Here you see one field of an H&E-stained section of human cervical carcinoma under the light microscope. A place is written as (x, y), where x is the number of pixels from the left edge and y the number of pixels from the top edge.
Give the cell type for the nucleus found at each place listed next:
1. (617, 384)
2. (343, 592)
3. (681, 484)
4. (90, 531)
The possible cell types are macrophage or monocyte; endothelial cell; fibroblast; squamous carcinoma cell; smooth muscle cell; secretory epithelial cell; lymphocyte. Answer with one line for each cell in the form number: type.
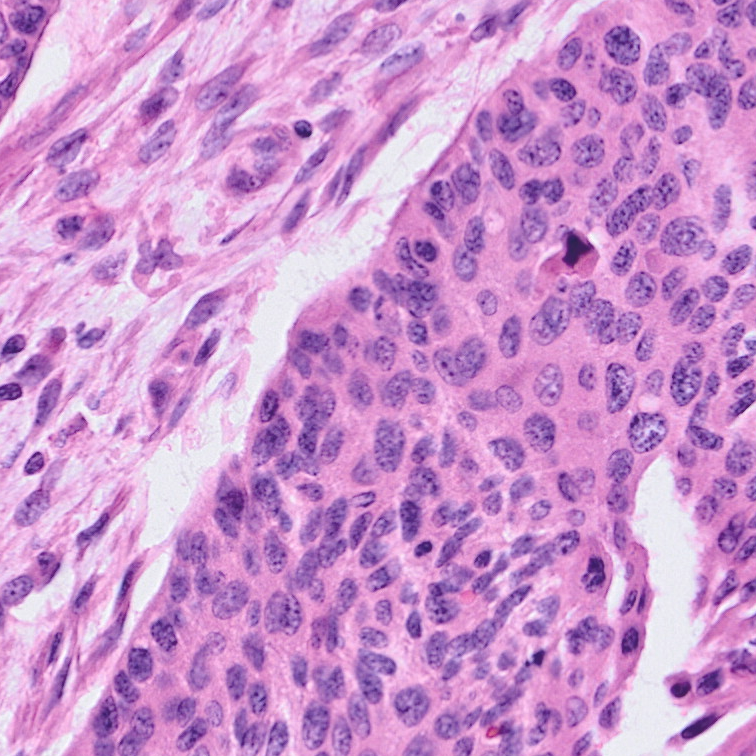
1: squamous carcinoma cell
2: squamous carcinoma cell
3: squamous carcinoma cell
4: fibroblast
